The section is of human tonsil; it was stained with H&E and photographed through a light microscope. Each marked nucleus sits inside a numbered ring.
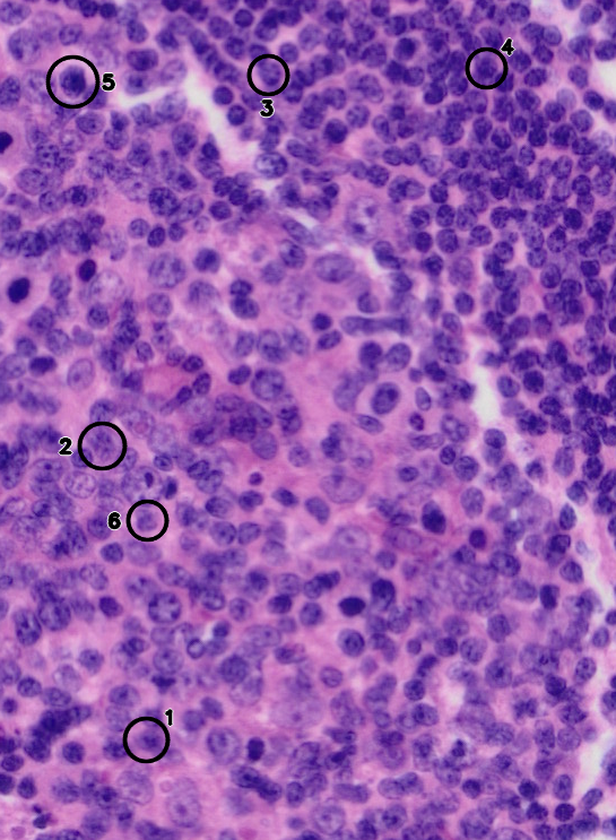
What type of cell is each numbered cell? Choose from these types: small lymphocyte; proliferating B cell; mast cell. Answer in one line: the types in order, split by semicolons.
proliferating B cell; proliferating B cell; small lymphocyte; small lymphocyte; proliferating B cell; proliferating B cell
